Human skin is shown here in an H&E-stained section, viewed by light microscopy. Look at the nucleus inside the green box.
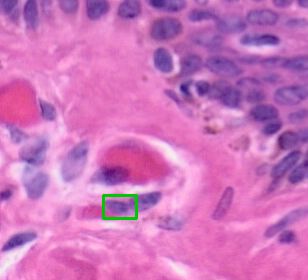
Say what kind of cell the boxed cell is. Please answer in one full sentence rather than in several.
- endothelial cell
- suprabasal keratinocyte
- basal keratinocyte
As to its cell type, the boxed cell is an endothelial cell.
